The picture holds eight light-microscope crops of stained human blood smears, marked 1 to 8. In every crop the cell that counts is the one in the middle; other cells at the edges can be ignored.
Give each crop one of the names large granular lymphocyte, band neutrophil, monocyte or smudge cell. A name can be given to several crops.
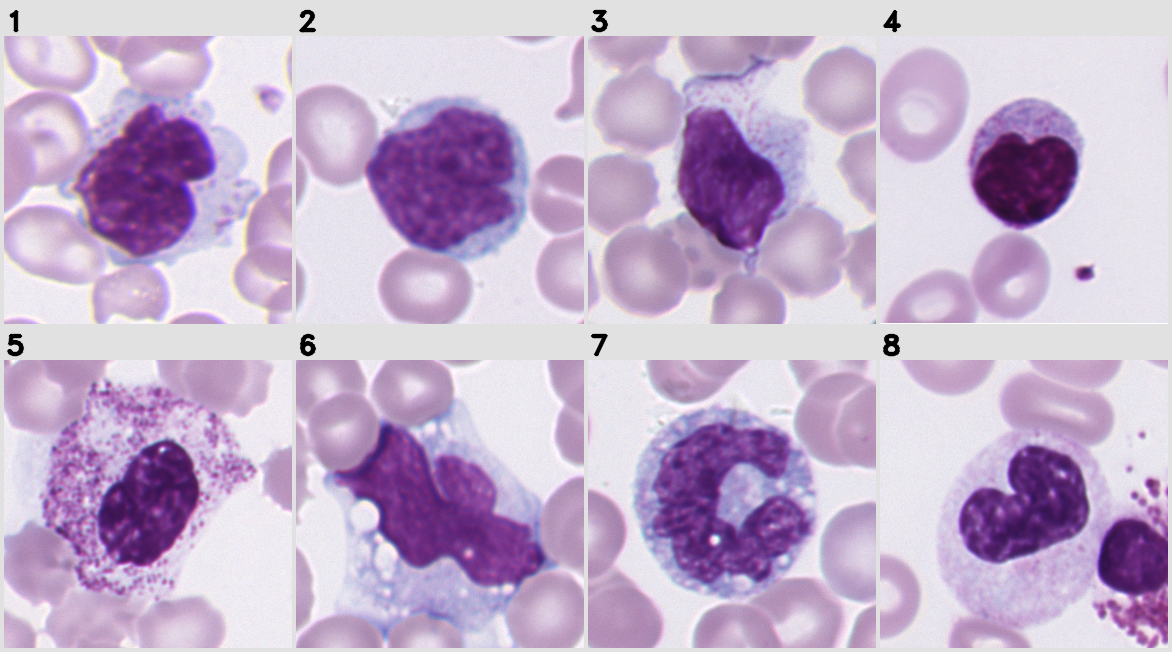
1: large granular lymphocyte
2: monocyte
3: large granular lymphocyte
4: large granular lymphocyte
5: band neutrophil
6: monocyte
7: monocyte
8: band neutrophil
